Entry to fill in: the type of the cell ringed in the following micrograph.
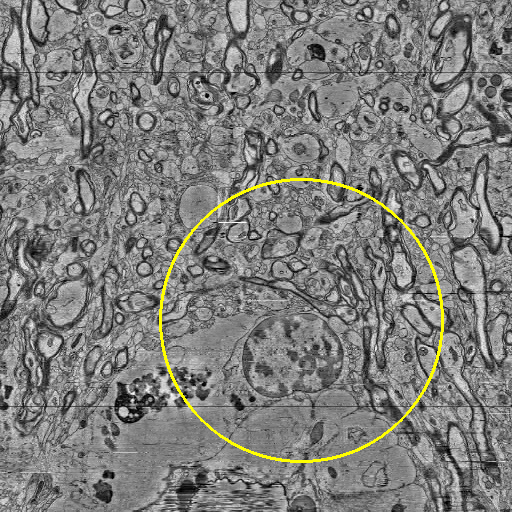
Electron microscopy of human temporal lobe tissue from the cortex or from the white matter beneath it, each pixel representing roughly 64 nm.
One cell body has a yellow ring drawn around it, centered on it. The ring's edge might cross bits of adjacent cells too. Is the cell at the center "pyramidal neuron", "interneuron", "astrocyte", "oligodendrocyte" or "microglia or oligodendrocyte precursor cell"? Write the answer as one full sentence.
This entry names a microglial cell or oligodendrocyte precursor cell as the cell whose body lies at the ring's center.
